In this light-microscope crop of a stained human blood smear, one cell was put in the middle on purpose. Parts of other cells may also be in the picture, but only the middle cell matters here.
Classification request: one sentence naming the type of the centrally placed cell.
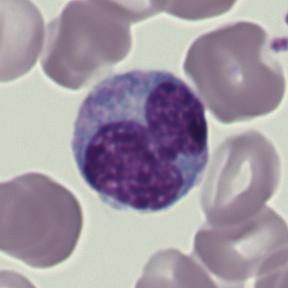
The cell centered in this field of view is a monocyte.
